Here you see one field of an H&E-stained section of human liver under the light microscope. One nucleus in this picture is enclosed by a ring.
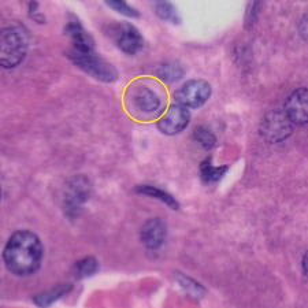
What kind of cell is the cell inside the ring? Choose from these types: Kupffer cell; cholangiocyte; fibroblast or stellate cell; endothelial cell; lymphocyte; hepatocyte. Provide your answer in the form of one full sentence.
What the cell inside the ring represents is a cholangiocyte.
